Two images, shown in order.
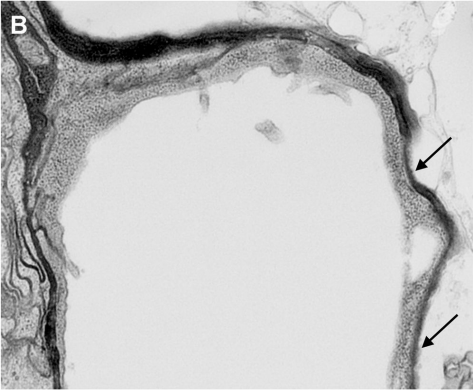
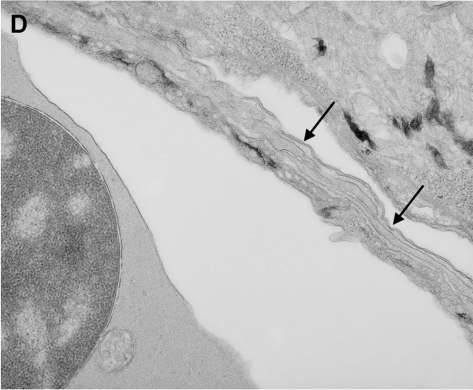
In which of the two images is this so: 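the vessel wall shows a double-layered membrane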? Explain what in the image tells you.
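The second image. Second image: the vessel wall at the arrows consists of stacked parallel membrane lines.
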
